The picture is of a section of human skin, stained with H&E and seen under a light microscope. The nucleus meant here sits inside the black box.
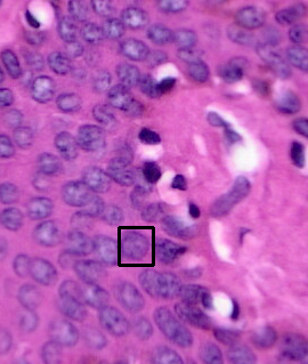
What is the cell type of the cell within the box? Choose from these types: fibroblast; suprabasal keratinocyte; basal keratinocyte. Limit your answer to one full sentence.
In terms of identity, the cell within the box is a basal keratinocyte.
